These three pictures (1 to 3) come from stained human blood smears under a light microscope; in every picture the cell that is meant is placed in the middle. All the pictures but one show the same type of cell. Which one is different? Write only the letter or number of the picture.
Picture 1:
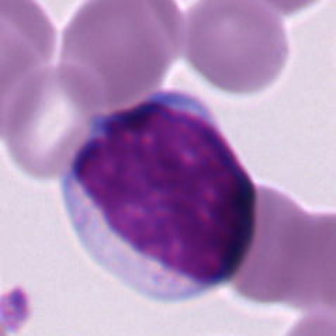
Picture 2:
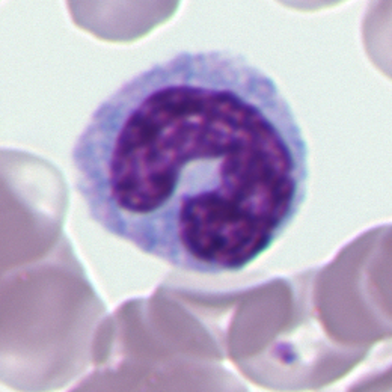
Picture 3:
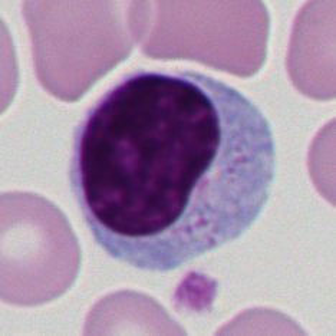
2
